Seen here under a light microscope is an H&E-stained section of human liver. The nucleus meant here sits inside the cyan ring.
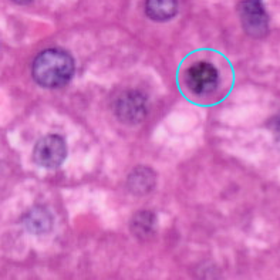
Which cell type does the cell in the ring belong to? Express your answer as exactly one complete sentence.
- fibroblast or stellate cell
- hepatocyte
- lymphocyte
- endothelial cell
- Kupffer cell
Microscopically, the cell in the ring is categorized as a hepatocyte.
